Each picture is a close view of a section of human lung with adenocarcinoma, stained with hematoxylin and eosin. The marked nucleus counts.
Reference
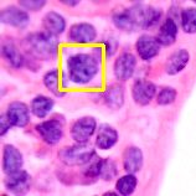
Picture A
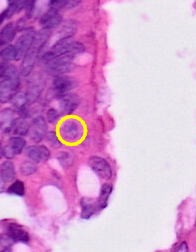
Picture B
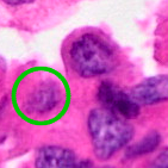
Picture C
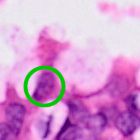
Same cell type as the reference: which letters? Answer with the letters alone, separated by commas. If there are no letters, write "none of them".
none of them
